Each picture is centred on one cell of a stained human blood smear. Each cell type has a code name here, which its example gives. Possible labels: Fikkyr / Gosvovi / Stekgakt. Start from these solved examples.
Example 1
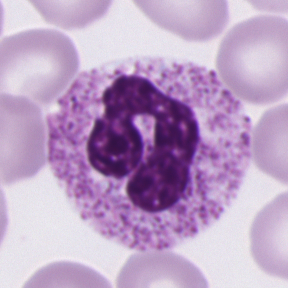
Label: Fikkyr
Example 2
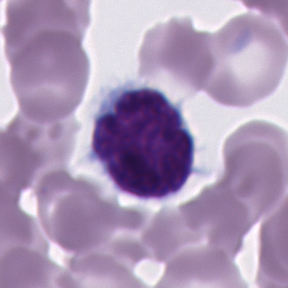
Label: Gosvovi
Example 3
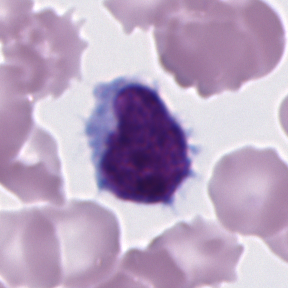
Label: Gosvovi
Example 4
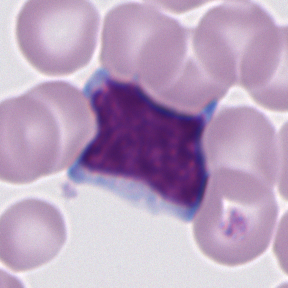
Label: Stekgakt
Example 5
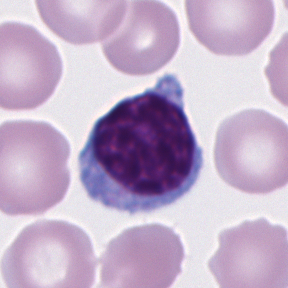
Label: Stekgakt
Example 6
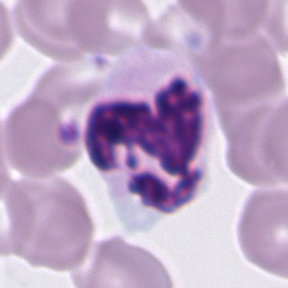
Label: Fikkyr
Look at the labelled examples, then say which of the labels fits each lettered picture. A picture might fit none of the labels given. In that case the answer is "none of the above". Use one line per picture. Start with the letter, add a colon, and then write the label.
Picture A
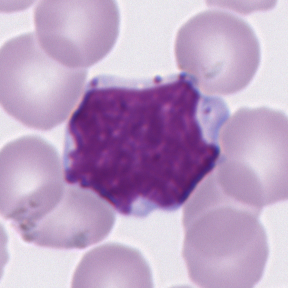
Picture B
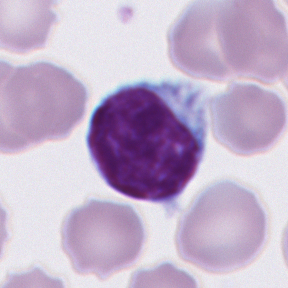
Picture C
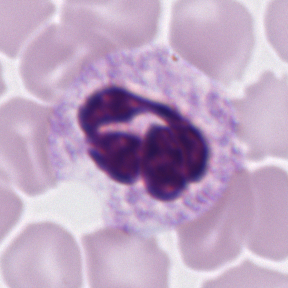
A: none of the above
B: Stekgakt
C: Fikkyr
